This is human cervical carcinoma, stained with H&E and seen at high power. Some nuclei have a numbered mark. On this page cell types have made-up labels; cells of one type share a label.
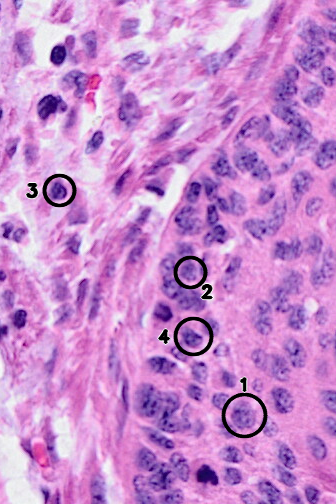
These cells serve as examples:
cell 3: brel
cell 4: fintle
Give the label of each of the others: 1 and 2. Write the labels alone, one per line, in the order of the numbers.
fintle
fintle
